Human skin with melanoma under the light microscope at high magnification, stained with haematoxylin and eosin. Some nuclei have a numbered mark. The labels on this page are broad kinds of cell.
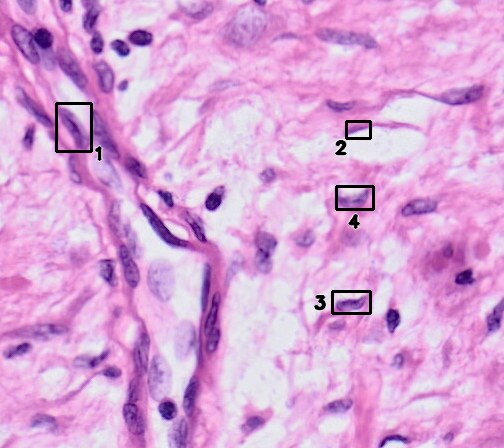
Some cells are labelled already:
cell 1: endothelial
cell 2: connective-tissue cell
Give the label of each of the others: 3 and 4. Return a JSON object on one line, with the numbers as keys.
{"3": "connective-tissue cell", "4": "connective-tissue cell"}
